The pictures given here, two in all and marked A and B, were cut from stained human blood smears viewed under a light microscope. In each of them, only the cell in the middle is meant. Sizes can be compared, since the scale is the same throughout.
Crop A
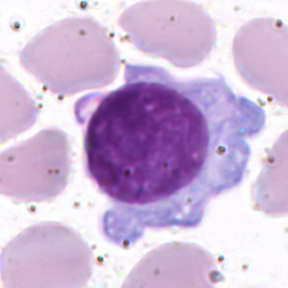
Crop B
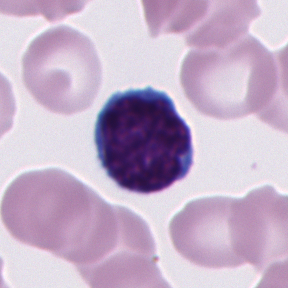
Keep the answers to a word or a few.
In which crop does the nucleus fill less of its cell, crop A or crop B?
A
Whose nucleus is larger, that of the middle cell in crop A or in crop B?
A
